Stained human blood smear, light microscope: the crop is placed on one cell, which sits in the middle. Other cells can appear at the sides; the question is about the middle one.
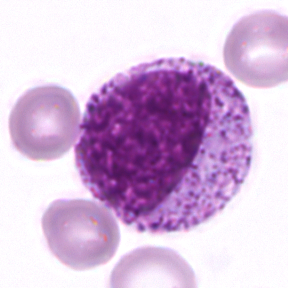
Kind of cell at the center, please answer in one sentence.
In the middle of this smear crop, the cell is a myelocyte.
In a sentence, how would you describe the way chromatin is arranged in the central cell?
Chromatin in the nucleus here is coarsely clumped.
